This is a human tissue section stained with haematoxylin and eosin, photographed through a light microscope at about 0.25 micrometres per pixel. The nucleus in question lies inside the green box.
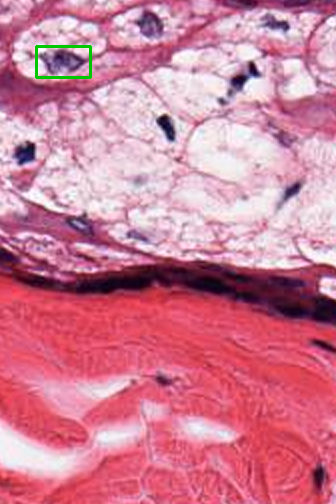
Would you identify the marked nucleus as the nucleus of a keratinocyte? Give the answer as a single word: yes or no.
no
